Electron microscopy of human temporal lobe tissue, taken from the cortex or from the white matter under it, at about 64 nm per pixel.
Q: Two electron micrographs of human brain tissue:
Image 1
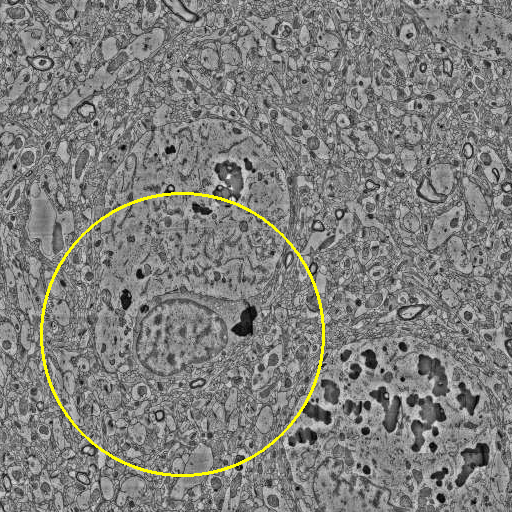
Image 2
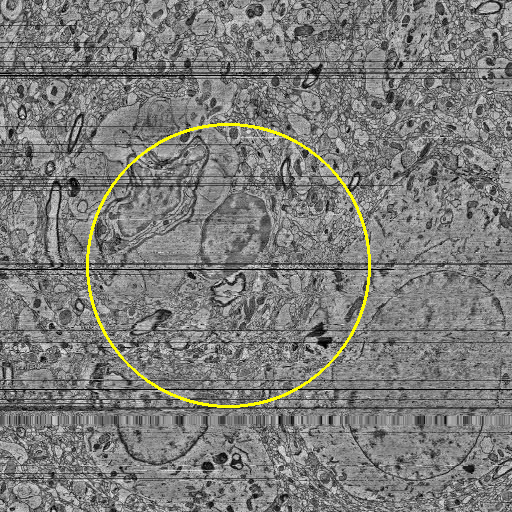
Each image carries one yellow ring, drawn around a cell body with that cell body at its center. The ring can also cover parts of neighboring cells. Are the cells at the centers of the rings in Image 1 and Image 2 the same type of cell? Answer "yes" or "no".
no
